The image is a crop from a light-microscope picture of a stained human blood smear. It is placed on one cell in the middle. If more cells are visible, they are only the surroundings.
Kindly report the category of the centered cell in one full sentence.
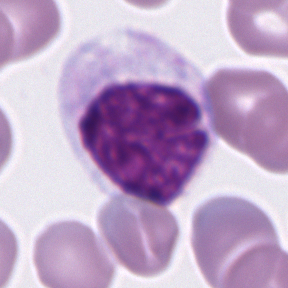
Seen at the centre of the crop is a band neutrophil.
